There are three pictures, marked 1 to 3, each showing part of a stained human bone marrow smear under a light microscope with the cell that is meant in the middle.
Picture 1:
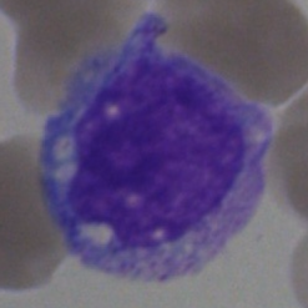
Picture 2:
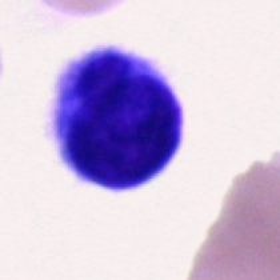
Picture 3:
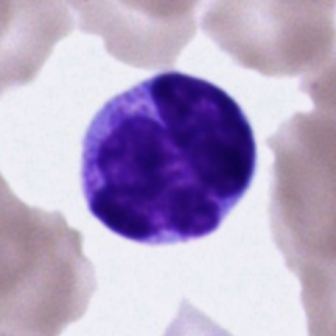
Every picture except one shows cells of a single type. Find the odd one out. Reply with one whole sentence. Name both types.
Unlike the rest, which show lymphocytes, picture 1 shows a monocyte.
